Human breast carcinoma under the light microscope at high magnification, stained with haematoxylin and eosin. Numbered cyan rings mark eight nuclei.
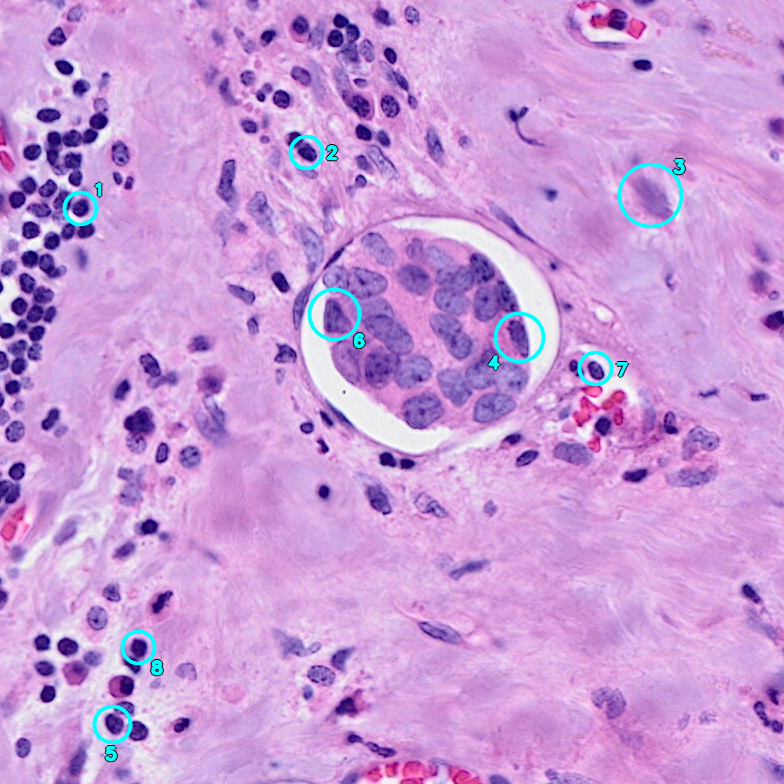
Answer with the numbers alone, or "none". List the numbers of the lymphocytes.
1, 2, 5, 7, 8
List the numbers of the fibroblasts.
3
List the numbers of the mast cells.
none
